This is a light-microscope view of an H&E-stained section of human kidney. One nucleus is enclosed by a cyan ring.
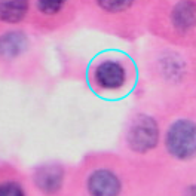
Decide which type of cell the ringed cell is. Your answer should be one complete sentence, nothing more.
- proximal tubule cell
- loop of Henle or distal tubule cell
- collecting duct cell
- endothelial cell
On this particular slide, the ringed cell is a loop of Henle or distal tubule cell.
